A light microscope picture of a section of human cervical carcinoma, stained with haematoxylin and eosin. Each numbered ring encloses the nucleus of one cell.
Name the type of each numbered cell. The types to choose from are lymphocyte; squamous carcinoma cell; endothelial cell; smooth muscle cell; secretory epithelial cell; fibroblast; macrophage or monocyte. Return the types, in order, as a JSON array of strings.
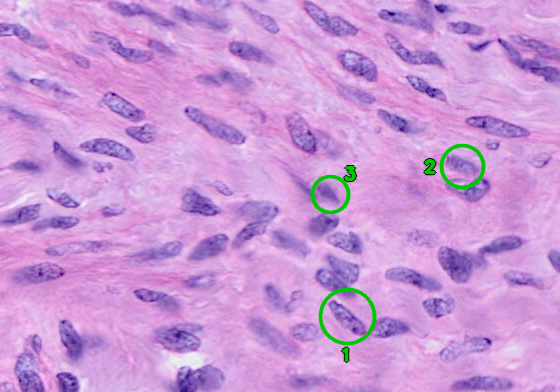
["fibroblast", "smooth muscle cell", "fibroblast"]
